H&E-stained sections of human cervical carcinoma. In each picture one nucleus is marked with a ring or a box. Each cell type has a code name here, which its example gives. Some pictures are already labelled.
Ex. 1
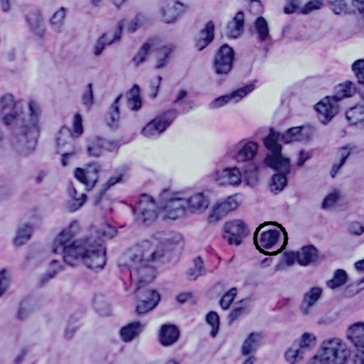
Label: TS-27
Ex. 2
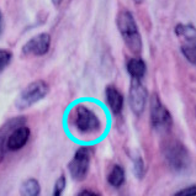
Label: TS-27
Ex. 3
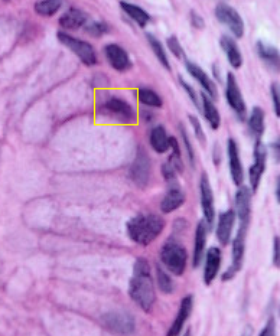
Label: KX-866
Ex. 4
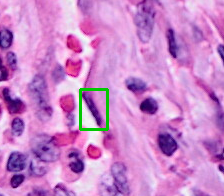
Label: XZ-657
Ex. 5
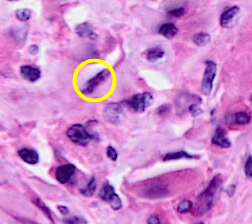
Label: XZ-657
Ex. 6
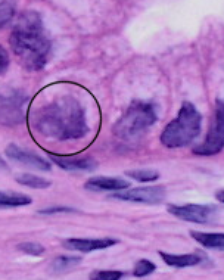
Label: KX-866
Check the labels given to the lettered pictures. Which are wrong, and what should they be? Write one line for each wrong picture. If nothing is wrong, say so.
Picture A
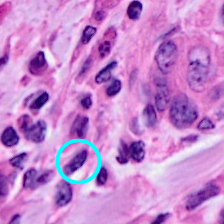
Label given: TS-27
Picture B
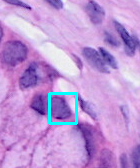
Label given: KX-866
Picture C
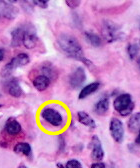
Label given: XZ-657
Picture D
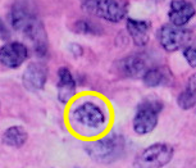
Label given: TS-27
C is labelled XZ-657; correct label: TS-27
